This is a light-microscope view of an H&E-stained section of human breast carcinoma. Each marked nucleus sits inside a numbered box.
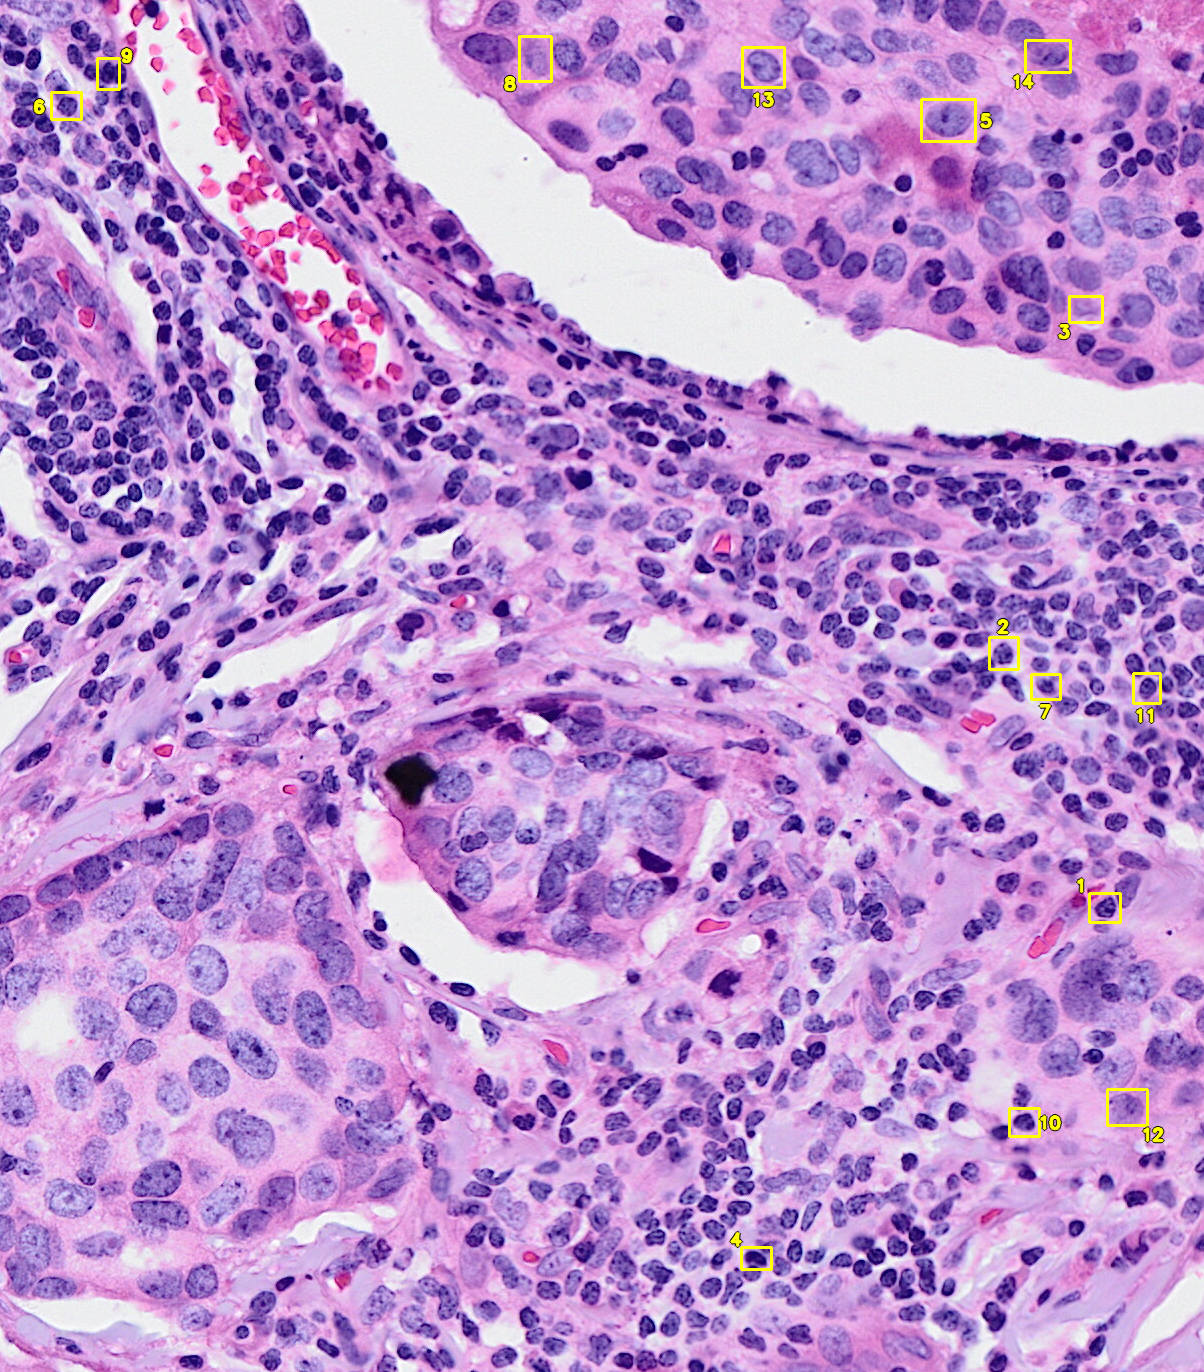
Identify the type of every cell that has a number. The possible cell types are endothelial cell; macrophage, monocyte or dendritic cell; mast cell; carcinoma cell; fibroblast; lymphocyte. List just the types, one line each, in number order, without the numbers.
lymphocyte
lymphocyte
carcinoma cell
lymphocyte
carcinoma cell
lymphocyte
lymphocyte
carcinoma cell
lymphocyte
lymphocyte
lymphocyte
carcinoma cell
carcinoma cell
carcinoma cell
